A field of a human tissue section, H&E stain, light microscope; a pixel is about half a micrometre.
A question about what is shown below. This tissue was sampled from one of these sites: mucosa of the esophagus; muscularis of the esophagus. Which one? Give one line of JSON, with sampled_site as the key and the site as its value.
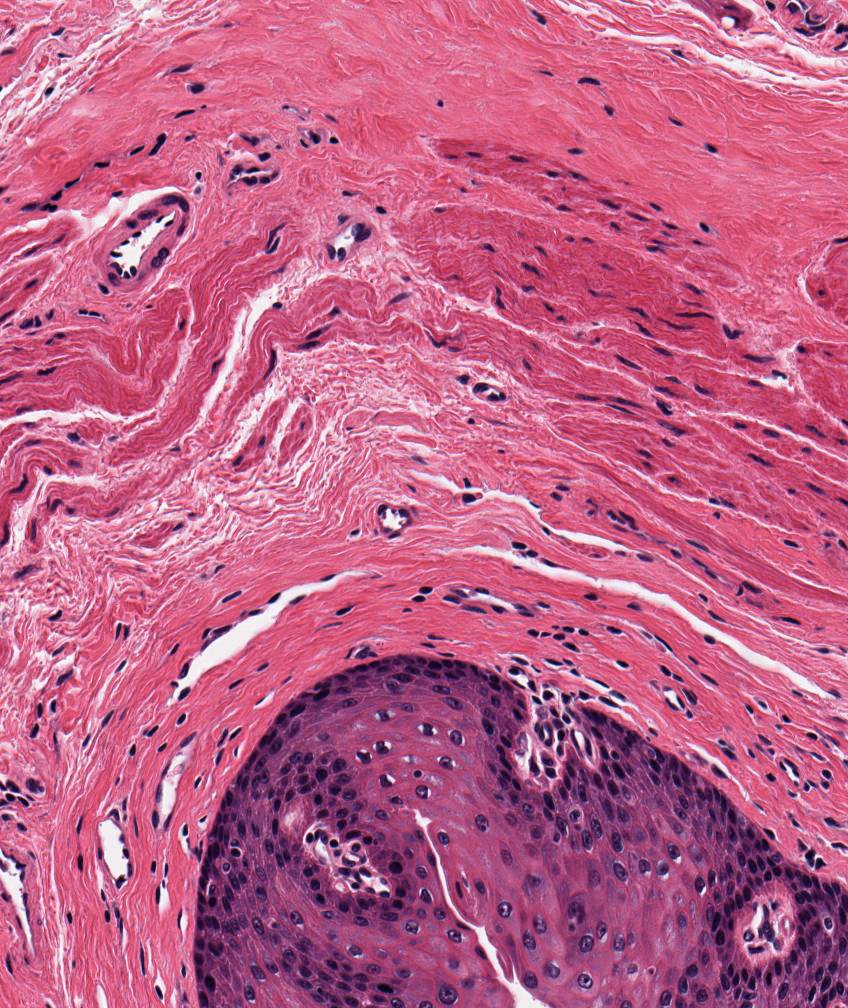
{"sampled_site": "mucosa of the esophagus"}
